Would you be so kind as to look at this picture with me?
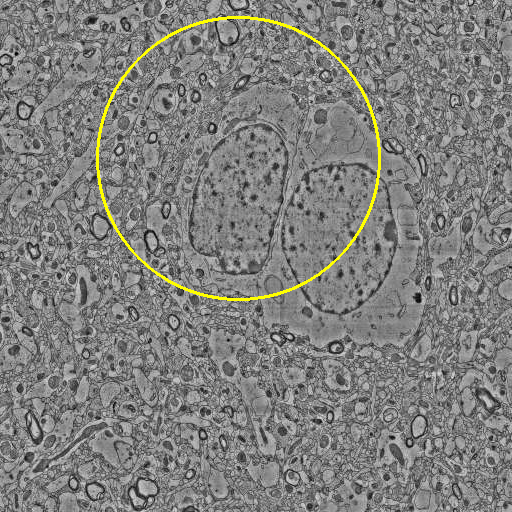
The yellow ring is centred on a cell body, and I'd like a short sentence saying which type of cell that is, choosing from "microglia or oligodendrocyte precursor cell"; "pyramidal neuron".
The cell body in the ring belongs to a microglial cell or oligodendrocyte precursor cell.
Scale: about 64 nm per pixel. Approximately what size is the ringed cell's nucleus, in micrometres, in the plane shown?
The nucleus comes to roughly 10 by 6 micrometres in this plane.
